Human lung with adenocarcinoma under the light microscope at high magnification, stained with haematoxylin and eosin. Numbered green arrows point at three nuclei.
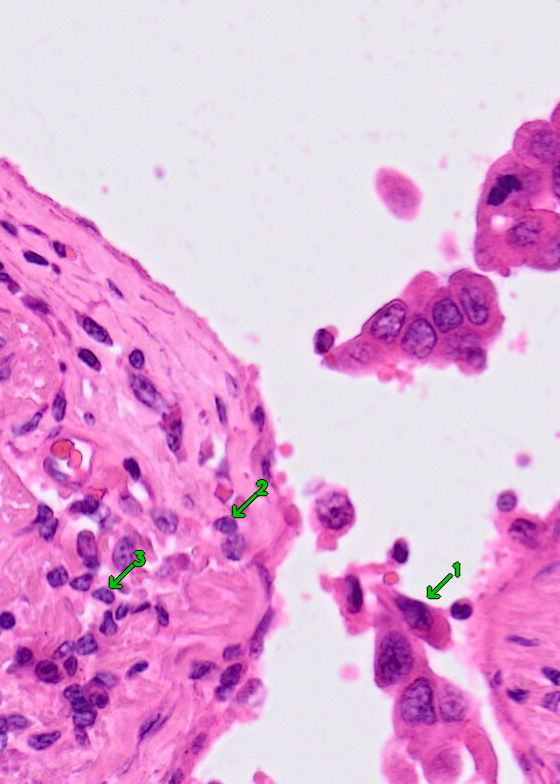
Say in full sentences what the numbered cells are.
Cell 1 is a carcinoma cell. Cells 2 and 3 are lymphocytes.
